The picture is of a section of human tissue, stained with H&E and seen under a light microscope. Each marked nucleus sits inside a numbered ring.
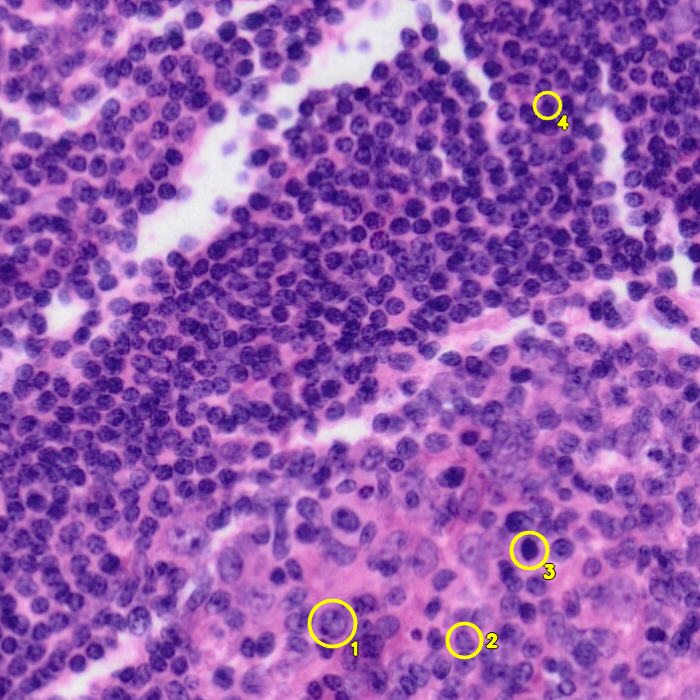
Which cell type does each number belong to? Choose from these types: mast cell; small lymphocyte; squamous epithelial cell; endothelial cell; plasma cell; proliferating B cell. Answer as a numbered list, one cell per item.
1. proliferating B cell
2. proliferating B cell
3. proliferating B cell
4. small lymphocyte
